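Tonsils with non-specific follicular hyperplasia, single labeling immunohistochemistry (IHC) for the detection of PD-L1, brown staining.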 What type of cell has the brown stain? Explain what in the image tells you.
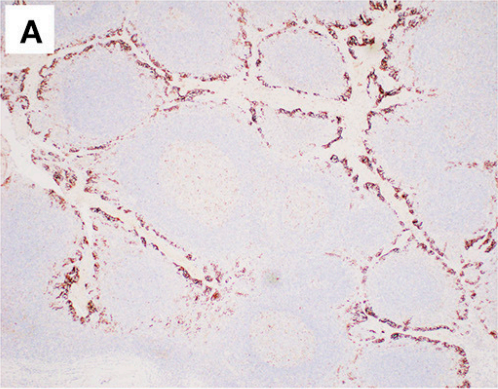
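Brown stain lines branching bands between round pale lymphoid follicles. The stained bands follow clefts running through the tissue. On this evidence: epithelial cells.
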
